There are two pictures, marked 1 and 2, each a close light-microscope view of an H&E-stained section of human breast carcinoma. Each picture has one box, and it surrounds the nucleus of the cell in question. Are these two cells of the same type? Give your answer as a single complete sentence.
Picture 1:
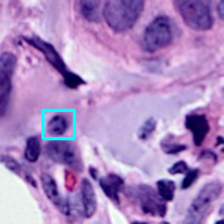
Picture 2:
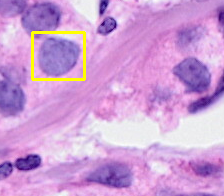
No; the cell in picture 1 is a mast cell, while the one in picture 2 is a carcinoma cell.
